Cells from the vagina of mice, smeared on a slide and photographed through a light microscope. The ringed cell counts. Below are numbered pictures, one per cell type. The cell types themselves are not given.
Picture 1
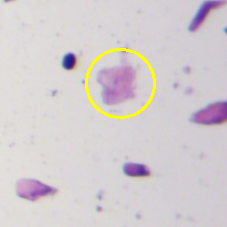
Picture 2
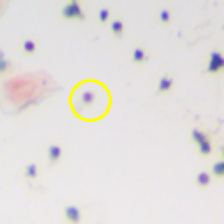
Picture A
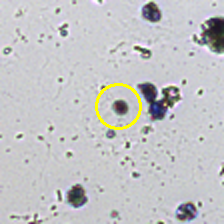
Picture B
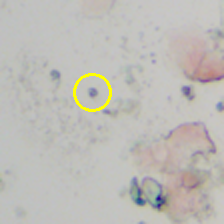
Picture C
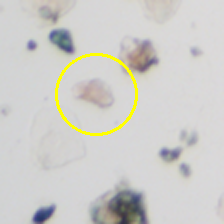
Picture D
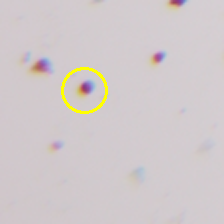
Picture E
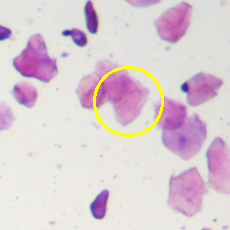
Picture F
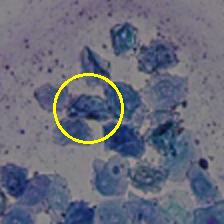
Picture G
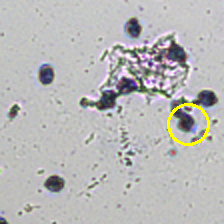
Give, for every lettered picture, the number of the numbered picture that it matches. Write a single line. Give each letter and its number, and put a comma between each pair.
A 2, B 2, C 1, D 2, E 1, F 1, G 2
